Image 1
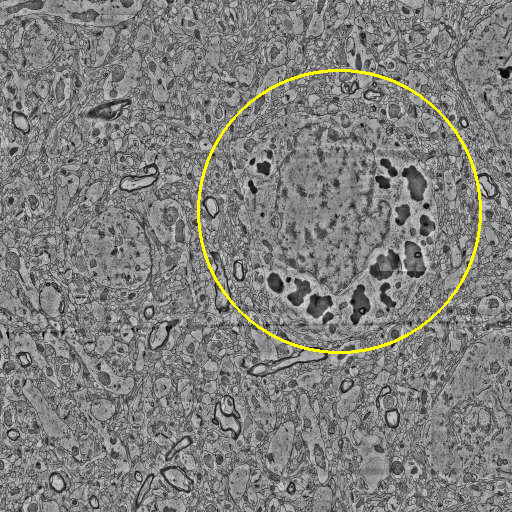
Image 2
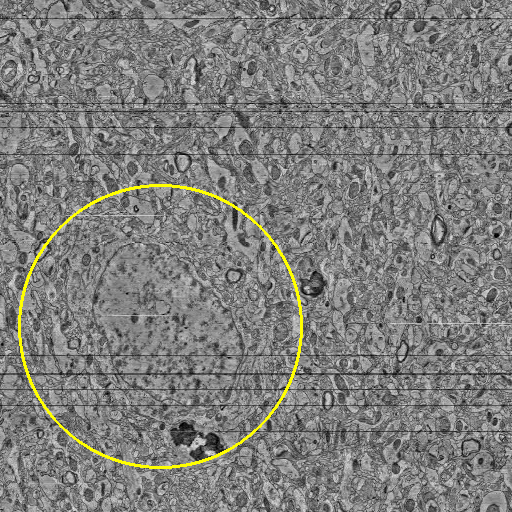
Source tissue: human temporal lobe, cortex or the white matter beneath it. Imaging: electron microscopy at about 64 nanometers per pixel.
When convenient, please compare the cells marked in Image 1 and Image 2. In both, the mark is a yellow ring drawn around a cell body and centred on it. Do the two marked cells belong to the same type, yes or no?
yes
